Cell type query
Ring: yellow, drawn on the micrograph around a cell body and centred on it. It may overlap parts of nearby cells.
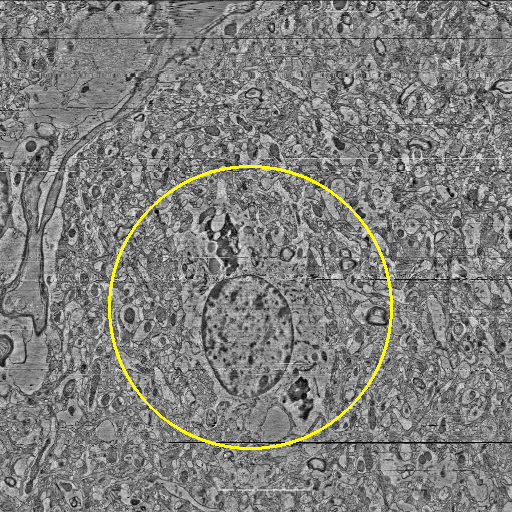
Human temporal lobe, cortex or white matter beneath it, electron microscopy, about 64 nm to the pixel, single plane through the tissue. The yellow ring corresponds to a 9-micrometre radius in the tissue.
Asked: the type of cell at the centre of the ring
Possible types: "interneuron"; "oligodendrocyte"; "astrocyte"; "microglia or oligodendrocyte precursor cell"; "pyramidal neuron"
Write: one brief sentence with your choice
The ring marks an astrocyte.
